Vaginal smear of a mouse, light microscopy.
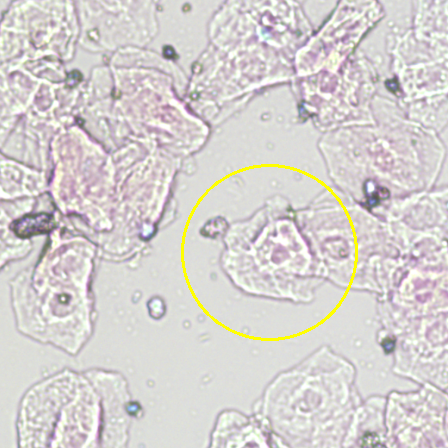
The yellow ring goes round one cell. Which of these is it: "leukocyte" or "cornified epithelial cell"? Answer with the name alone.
cornified epithelial cell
